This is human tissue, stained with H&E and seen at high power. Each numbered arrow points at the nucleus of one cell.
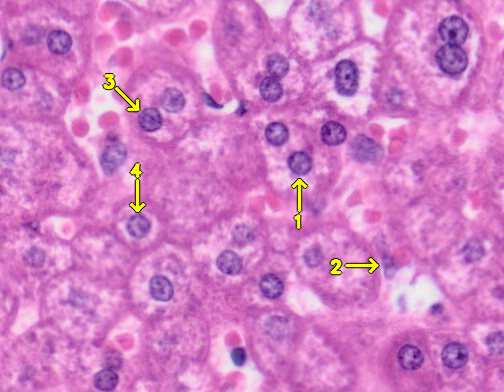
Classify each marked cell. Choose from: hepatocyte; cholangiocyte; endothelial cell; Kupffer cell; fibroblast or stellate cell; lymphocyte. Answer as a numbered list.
1. hepatocyte
2. endothelial cell
3. hepatocyte
4. hepatocyte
